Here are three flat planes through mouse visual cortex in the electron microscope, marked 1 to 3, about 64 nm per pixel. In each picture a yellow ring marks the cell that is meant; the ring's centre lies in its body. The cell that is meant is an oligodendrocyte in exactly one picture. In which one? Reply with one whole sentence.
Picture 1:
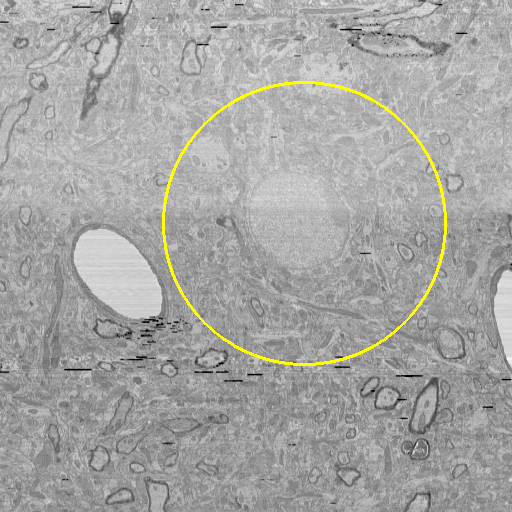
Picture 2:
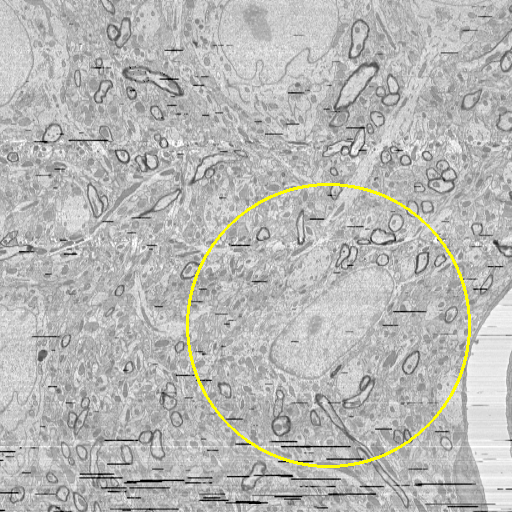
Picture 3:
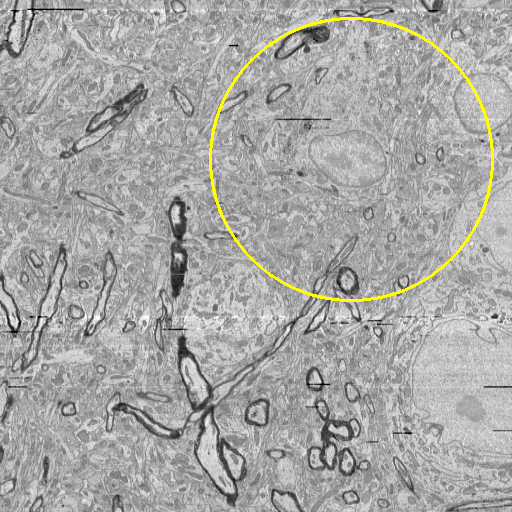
The picture with the oligodendrocyte is 3.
